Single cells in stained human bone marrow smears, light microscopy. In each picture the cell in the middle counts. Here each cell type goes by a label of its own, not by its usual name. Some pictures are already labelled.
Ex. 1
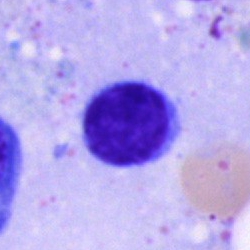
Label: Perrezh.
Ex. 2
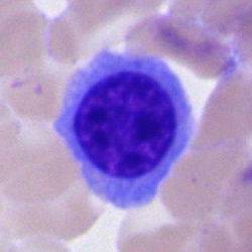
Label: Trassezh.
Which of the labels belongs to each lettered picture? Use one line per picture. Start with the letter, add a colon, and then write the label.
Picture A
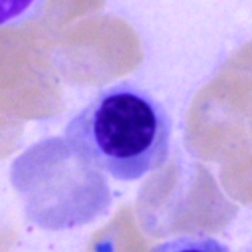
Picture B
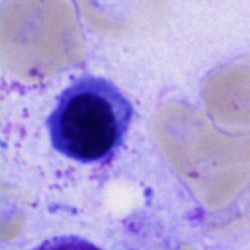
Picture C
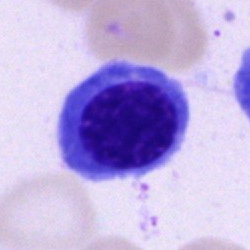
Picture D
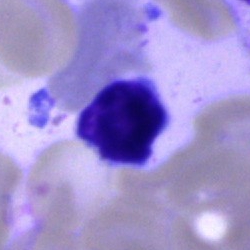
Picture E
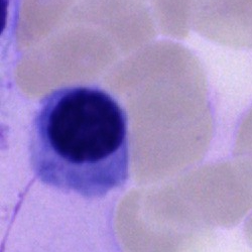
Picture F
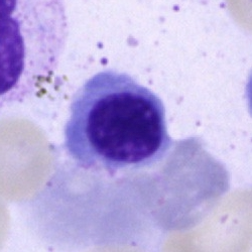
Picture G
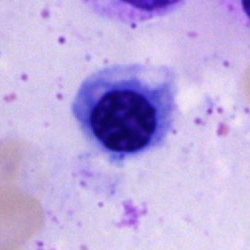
A: Trassezh.
B: Trassezh.
C: Trassezh.
D: Perrezh.
E: Trassezh.
F: Trassezh.
G: Trassezh.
